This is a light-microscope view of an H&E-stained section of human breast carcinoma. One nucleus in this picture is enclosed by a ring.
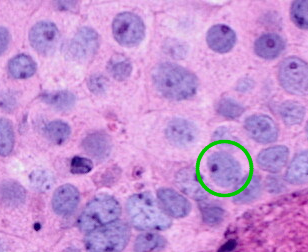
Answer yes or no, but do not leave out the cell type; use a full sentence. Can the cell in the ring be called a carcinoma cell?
Yes, what the cell in the ring represents in this tissue is a carcinoma cell.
